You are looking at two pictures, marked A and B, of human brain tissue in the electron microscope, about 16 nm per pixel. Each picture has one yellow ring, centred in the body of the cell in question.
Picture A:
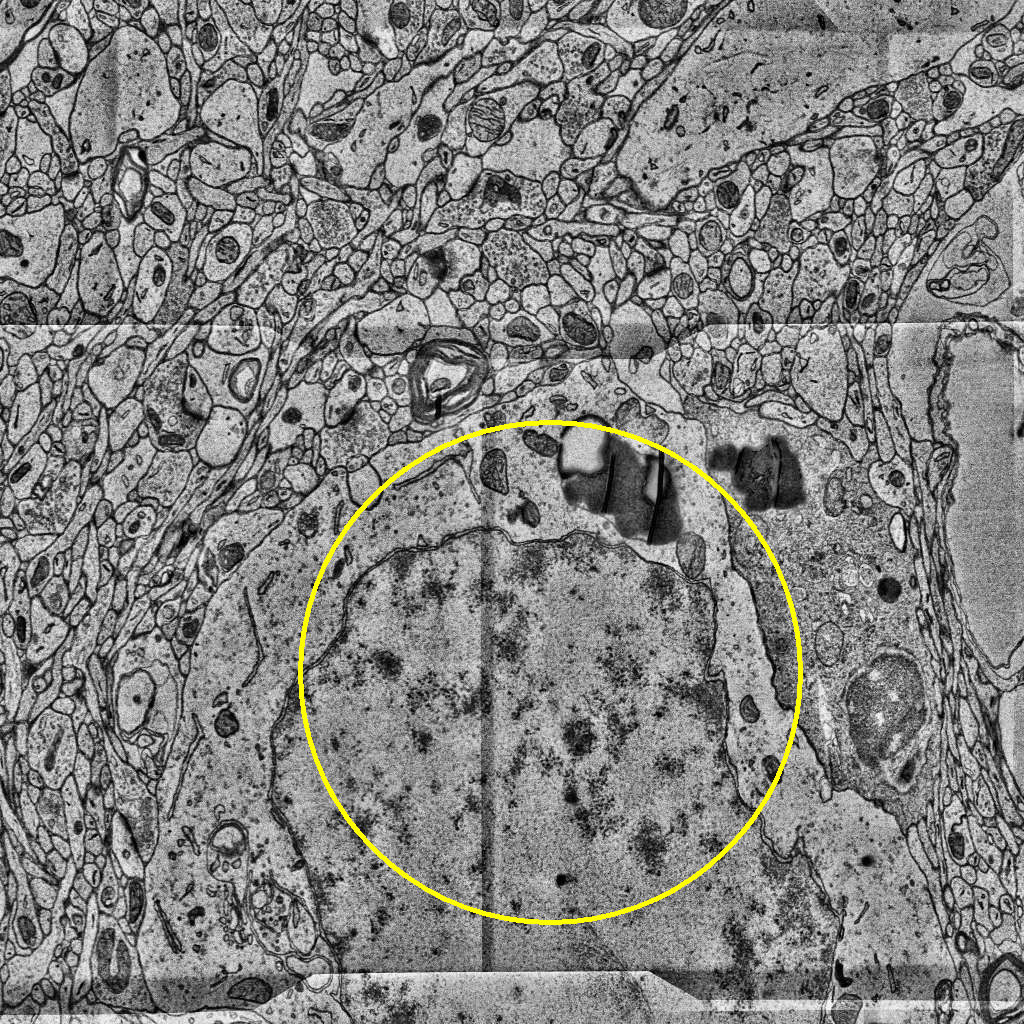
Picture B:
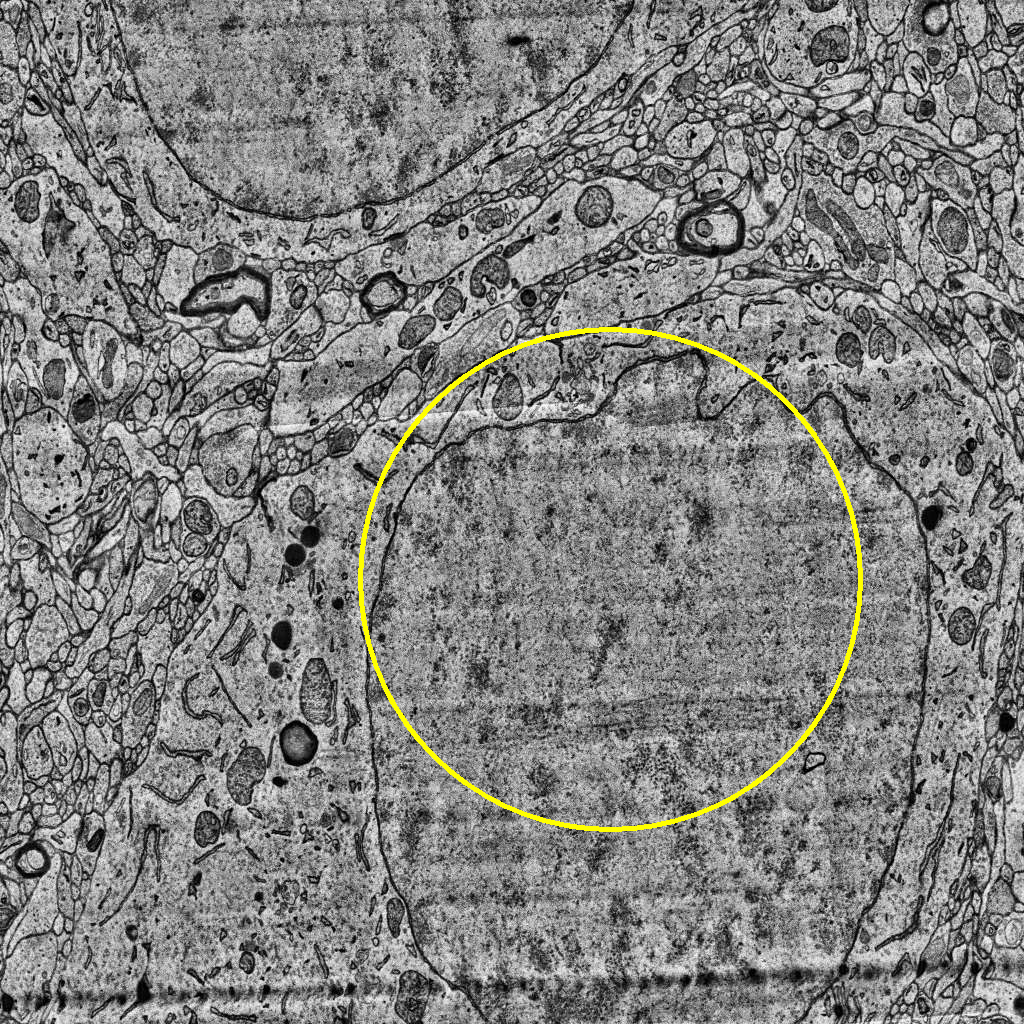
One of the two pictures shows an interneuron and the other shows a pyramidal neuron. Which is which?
Picture B shows a pyramidal neuron, while picture A shows an interneuron.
